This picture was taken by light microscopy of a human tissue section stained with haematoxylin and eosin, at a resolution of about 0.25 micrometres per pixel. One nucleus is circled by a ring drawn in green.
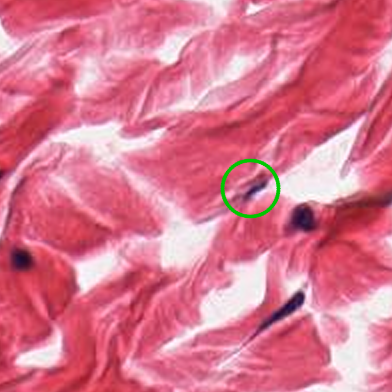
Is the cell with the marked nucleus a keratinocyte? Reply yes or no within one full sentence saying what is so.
No, the marked nucleus is contained in a supporting cell and not in a keratinocyte.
